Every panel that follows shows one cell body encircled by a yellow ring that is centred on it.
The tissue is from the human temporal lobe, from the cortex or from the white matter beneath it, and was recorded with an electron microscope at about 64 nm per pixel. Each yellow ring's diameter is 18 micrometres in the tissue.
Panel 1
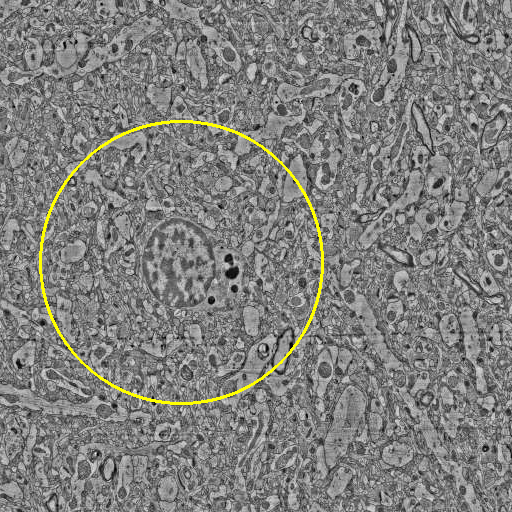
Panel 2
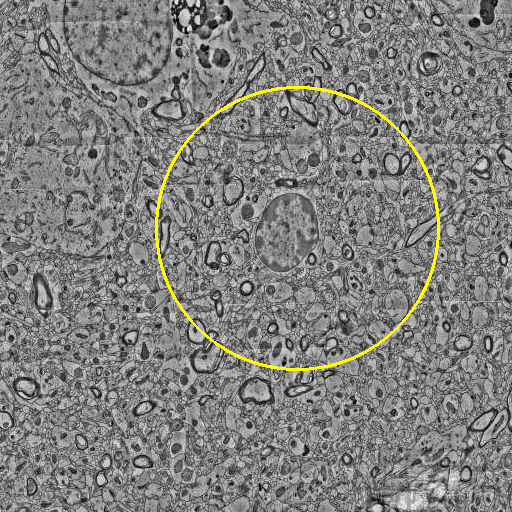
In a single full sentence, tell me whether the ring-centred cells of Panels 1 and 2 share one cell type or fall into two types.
In Panel 1 and Panel 2, the cells at the ring centres fall into two types.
